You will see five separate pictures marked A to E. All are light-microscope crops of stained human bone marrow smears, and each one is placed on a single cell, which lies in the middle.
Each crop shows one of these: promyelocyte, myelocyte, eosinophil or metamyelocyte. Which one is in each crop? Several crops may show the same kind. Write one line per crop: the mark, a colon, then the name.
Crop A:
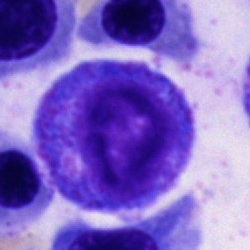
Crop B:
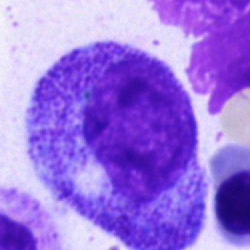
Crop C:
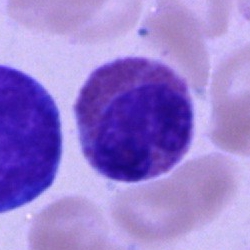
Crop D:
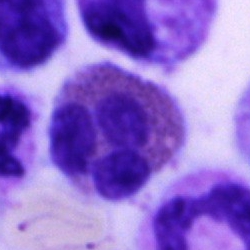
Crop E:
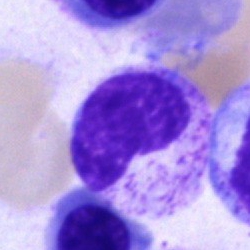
A: promyelocyte
B: promyelocyte
C: eosinophil
D: eosinophil
E: metamyelocyte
